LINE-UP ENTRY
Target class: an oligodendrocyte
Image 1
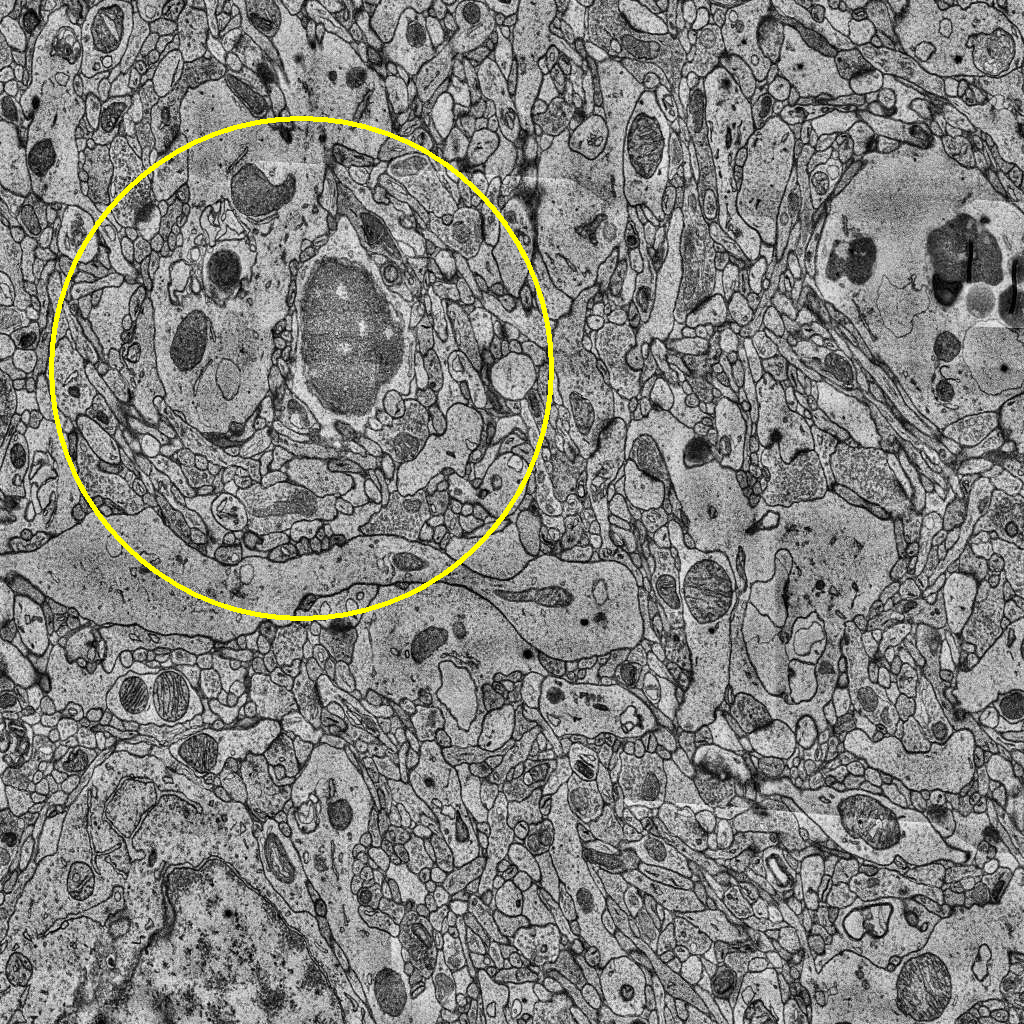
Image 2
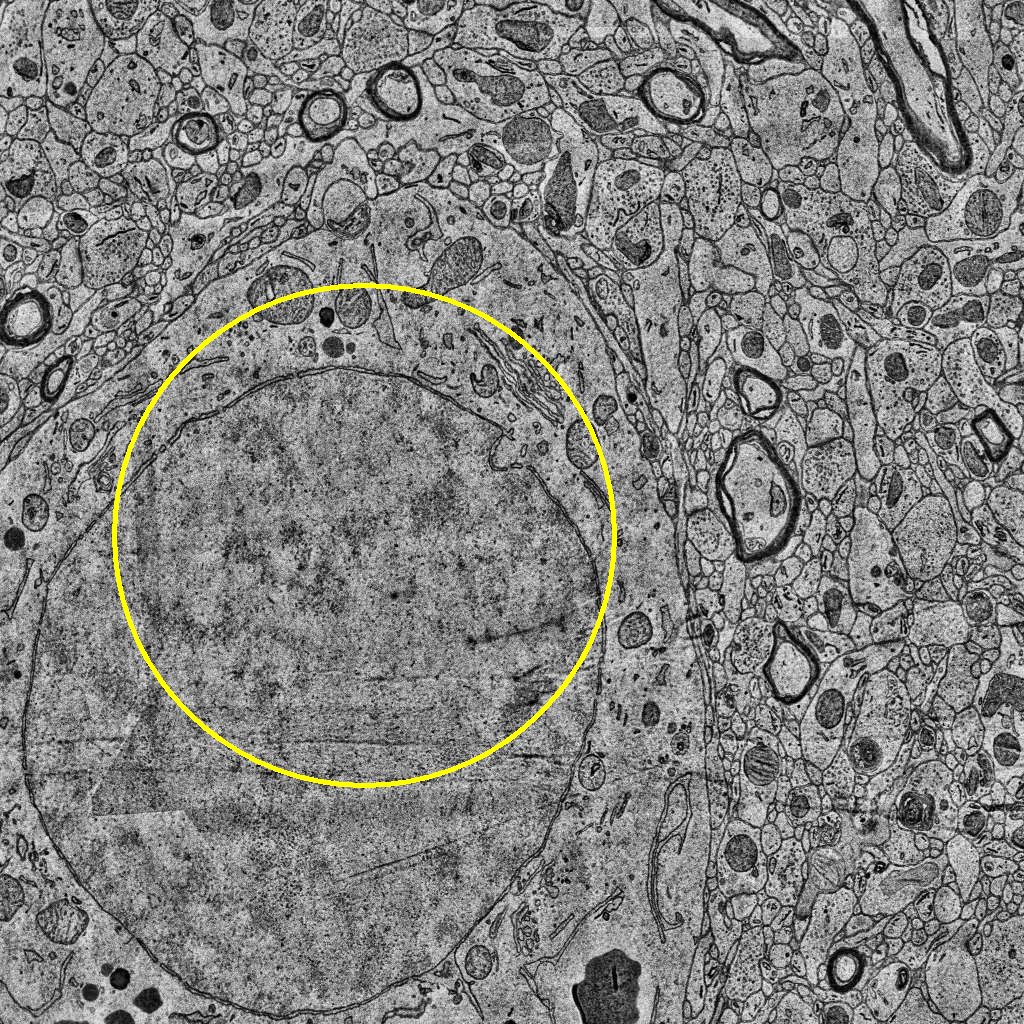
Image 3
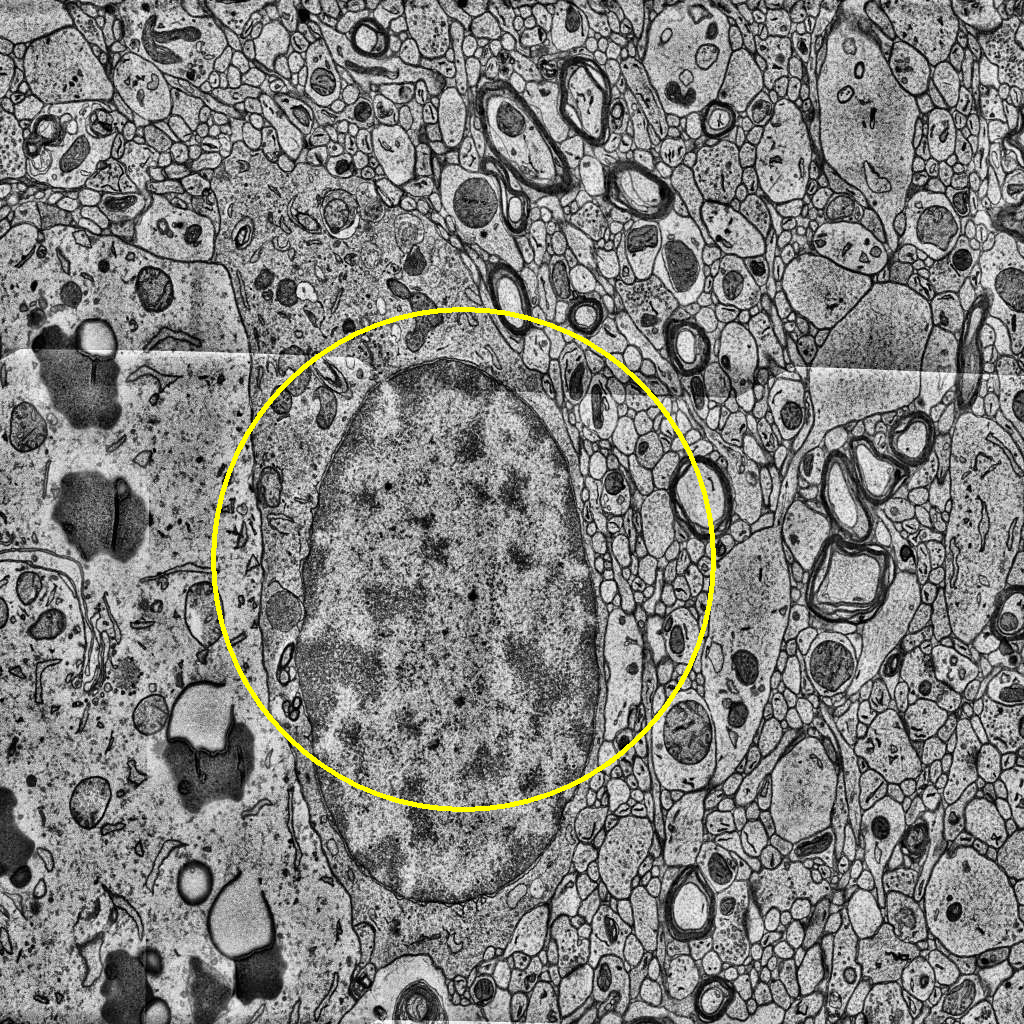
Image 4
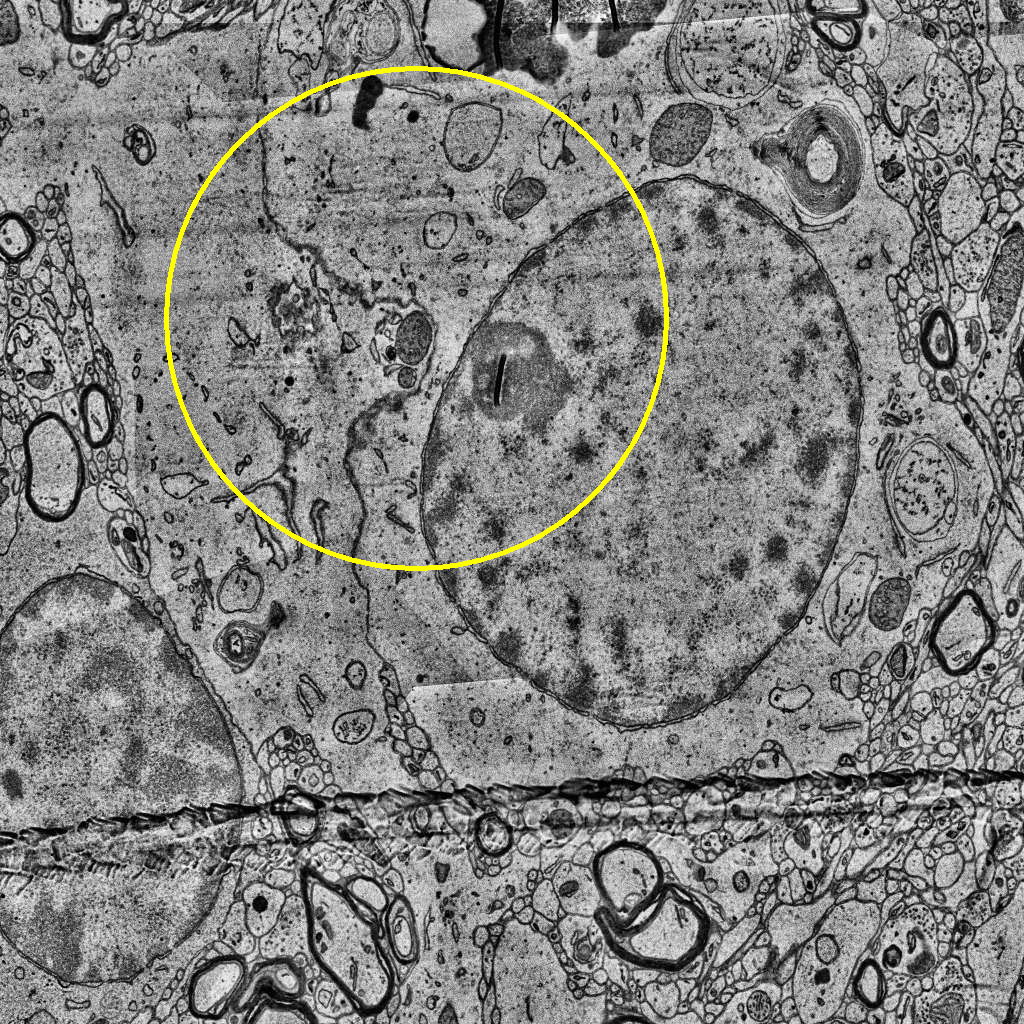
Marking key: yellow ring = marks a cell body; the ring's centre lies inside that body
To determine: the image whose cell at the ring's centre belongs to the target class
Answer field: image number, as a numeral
3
